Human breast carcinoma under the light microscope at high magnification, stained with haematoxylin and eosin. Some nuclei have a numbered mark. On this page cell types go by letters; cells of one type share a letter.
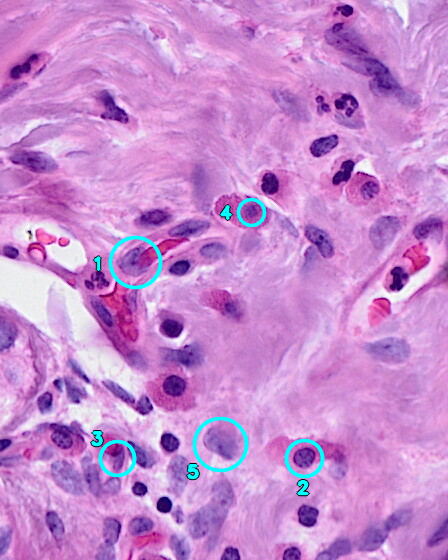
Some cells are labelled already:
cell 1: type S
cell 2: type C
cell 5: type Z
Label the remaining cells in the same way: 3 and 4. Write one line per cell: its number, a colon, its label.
3: type S
4: type C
